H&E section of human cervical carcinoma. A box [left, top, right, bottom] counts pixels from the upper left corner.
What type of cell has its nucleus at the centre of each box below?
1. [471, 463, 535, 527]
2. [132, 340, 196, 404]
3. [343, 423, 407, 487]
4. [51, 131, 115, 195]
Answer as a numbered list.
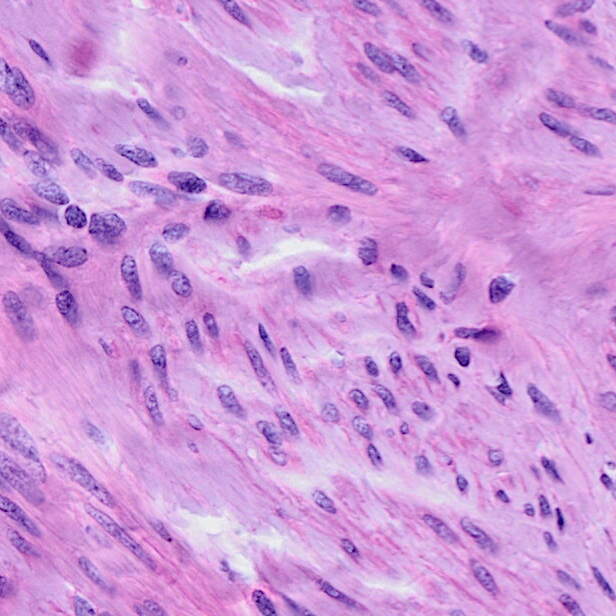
1. smooth muscle cell
2. smooth muscle cell
3. smooth muscle cell
4. fibroblast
